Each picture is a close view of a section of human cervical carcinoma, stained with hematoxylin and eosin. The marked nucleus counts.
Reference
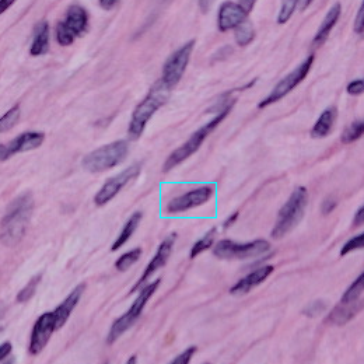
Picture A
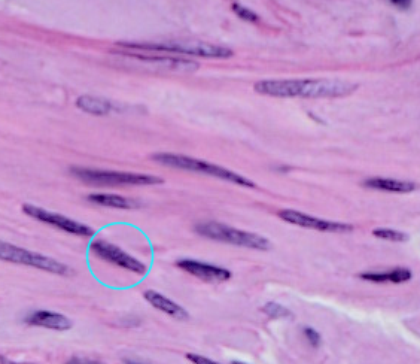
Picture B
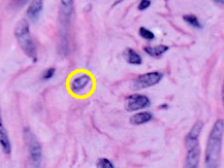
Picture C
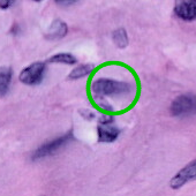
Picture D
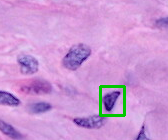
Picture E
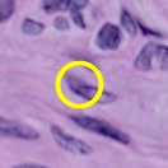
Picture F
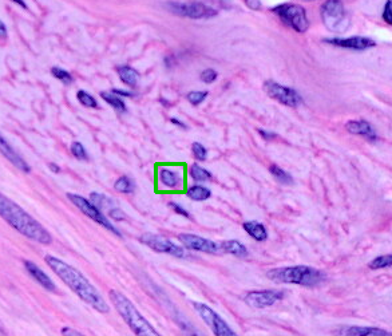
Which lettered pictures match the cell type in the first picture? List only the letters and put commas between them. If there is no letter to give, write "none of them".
A, C, D, E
